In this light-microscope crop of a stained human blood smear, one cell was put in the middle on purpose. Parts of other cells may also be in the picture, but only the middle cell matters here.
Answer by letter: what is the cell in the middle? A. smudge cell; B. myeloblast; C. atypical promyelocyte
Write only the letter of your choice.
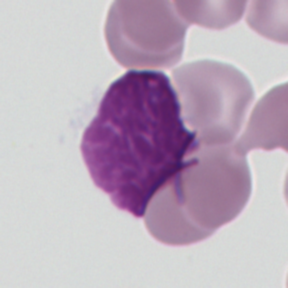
A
